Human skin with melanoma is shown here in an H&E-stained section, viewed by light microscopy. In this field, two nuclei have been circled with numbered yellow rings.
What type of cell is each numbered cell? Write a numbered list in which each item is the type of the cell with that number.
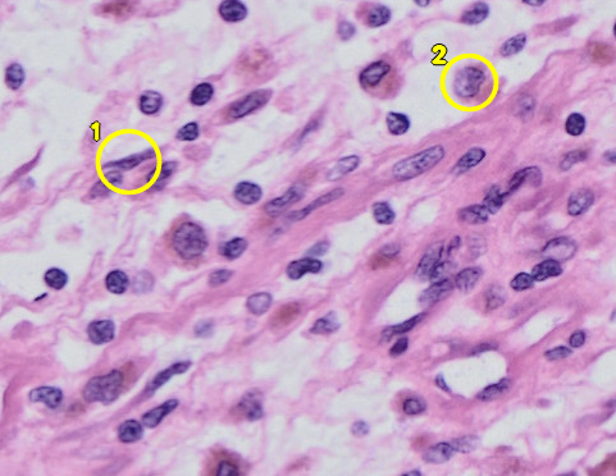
1. fibroblast or myofibroblast
2. macrophage or monocyte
